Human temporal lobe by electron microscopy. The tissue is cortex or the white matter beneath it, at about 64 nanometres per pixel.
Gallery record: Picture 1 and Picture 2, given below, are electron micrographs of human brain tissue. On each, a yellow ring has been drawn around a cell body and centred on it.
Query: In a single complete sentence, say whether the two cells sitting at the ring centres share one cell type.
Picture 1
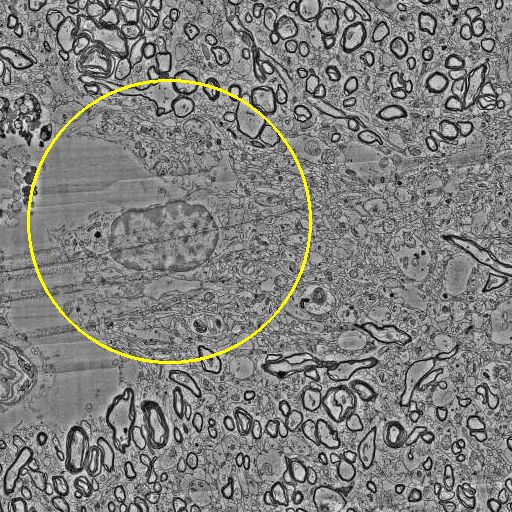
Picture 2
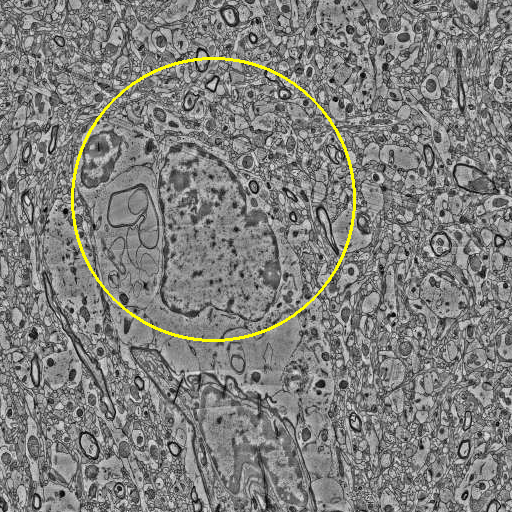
Yes, in both pictures the cell at the ring's centre is of one and the same type.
